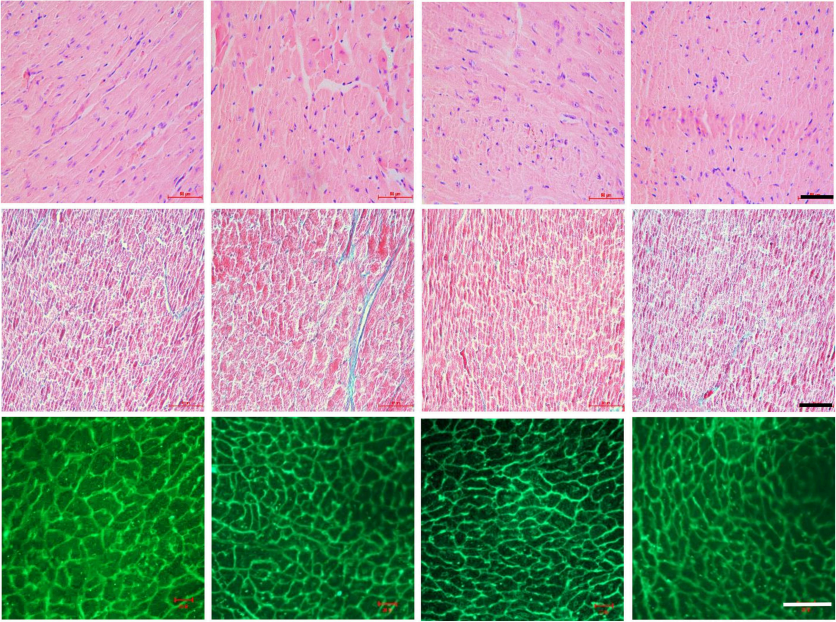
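These are sections of heart muscle (myocardium) shown in three stains. In the top row, pink cardiac muscle fibres run roughly in parallel, with scattered purple, elongated nuclei between and within the fibres. In the middle row the muscle stains red, and thin blue-green strands of connective tissue run between the fibres; these strands are most prominent in the second image. In the bottom row, bright green lines outline cross-sectioned muscle cells as a network of rounded to polygonal profiles.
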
